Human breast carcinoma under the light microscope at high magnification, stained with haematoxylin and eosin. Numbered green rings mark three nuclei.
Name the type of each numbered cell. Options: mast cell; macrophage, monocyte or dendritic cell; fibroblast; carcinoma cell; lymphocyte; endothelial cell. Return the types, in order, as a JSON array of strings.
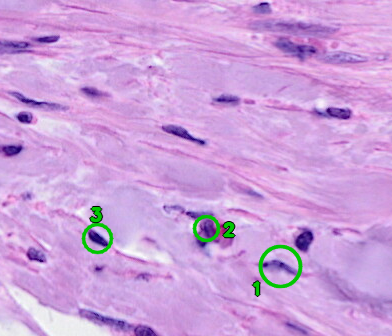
["fibroblast", "endothelial cell", "lymphocyte"]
